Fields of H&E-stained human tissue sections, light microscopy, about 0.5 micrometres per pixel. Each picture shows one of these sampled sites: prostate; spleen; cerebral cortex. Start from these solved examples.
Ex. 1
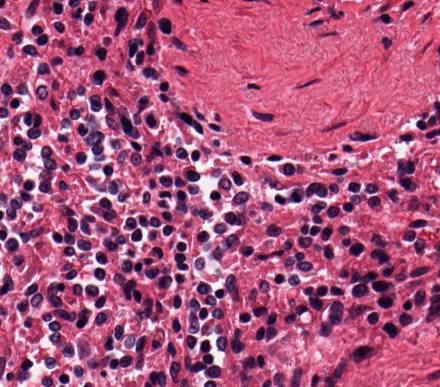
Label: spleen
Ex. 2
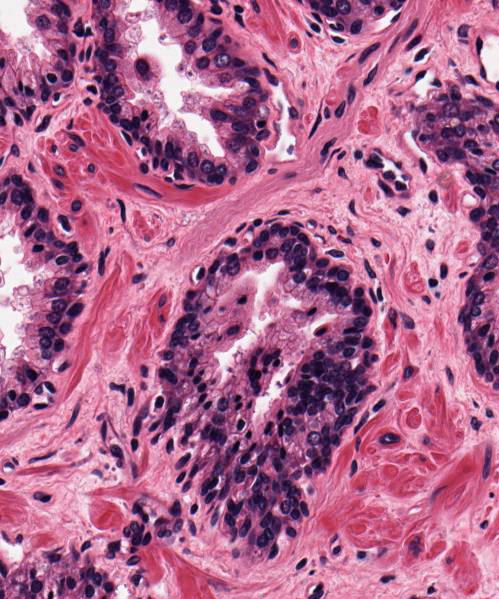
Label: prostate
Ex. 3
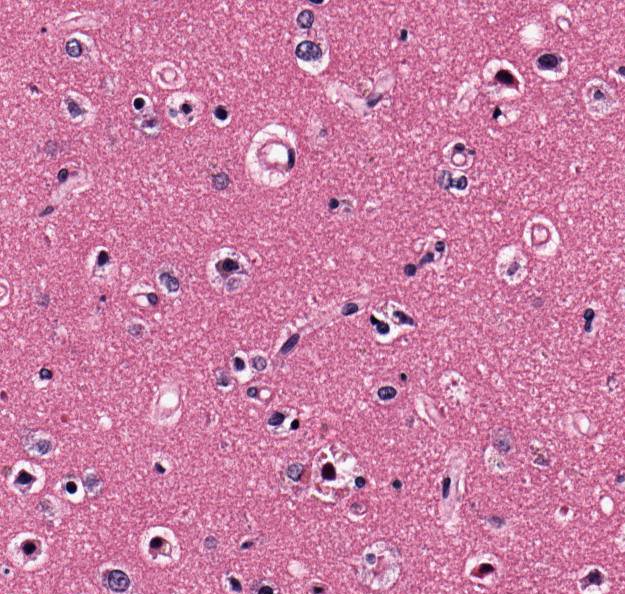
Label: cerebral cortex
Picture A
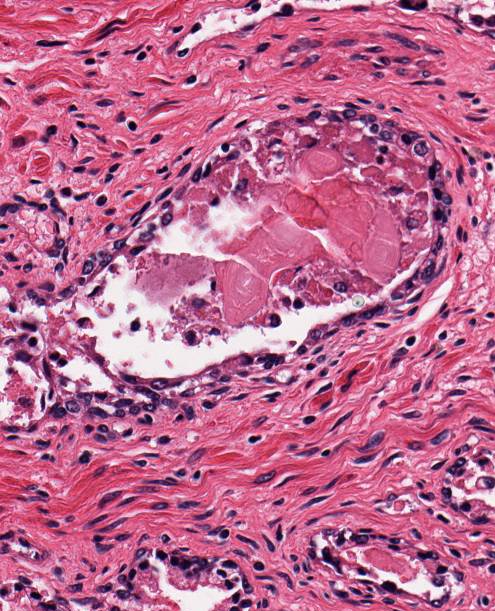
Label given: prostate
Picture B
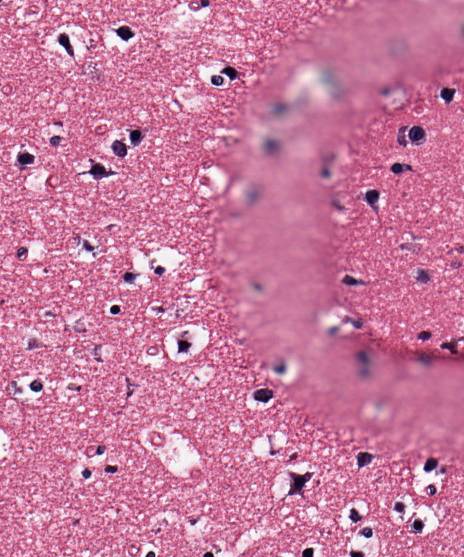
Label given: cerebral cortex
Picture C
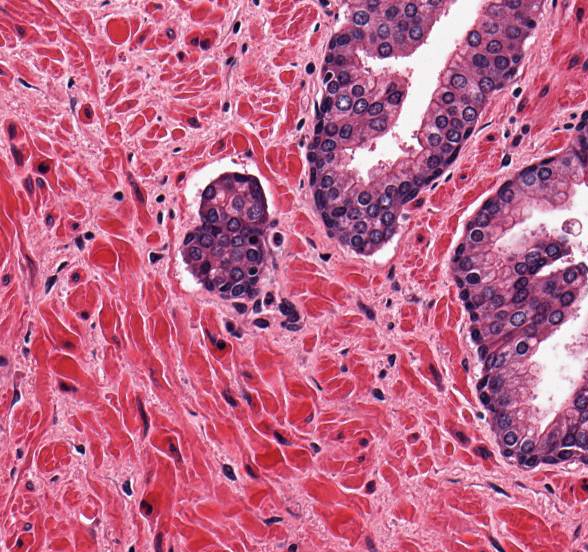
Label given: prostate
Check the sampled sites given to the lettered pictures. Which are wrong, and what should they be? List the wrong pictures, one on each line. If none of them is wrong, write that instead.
Nothing to fix; every label fits.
